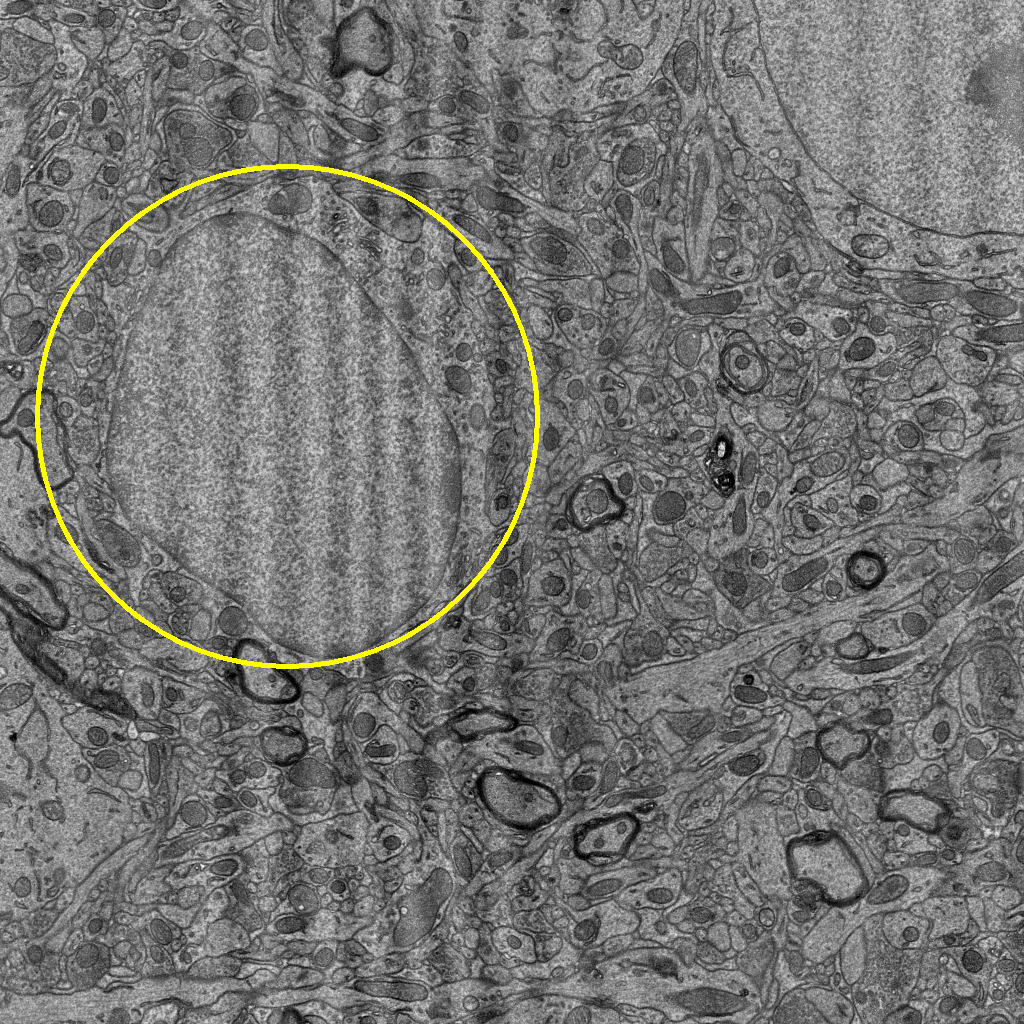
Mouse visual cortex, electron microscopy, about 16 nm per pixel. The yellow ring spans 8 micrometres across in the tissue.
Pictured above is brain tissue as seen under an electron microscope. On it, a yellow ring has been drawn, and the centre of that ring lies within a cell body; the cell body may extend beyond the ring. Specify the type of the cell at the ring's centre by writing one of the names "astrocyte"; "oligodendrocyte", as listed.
astrocyte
